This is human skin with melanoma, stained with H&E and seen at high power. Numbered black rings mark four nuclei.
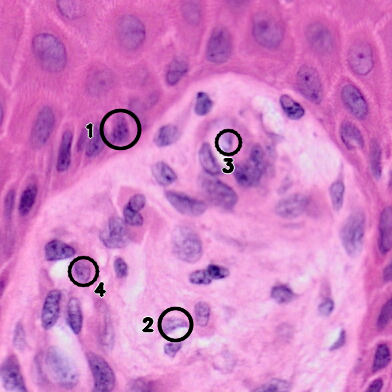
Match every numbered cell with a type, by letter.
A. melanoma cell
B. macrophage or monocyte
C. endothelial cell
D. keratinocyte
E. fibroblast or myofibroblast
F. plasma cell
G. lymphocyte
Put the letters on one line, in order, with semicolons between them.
D; E; C; C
